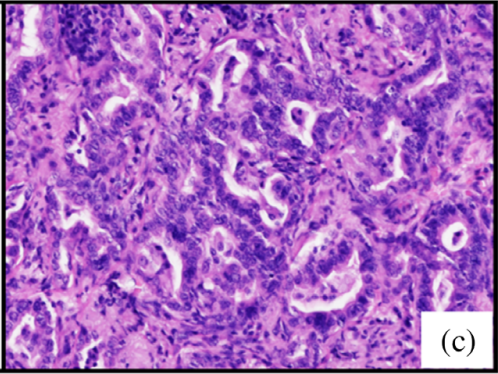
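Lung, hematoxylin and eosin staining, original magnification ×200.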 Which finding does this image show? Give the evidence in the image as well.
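Atypical epithelial cells form irregular glands with open lumina. Nuclei are enlarged, crowded and darkly stained. Glands lie within a cellular fibrous stroma.
Answer: adenocarcinoma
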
